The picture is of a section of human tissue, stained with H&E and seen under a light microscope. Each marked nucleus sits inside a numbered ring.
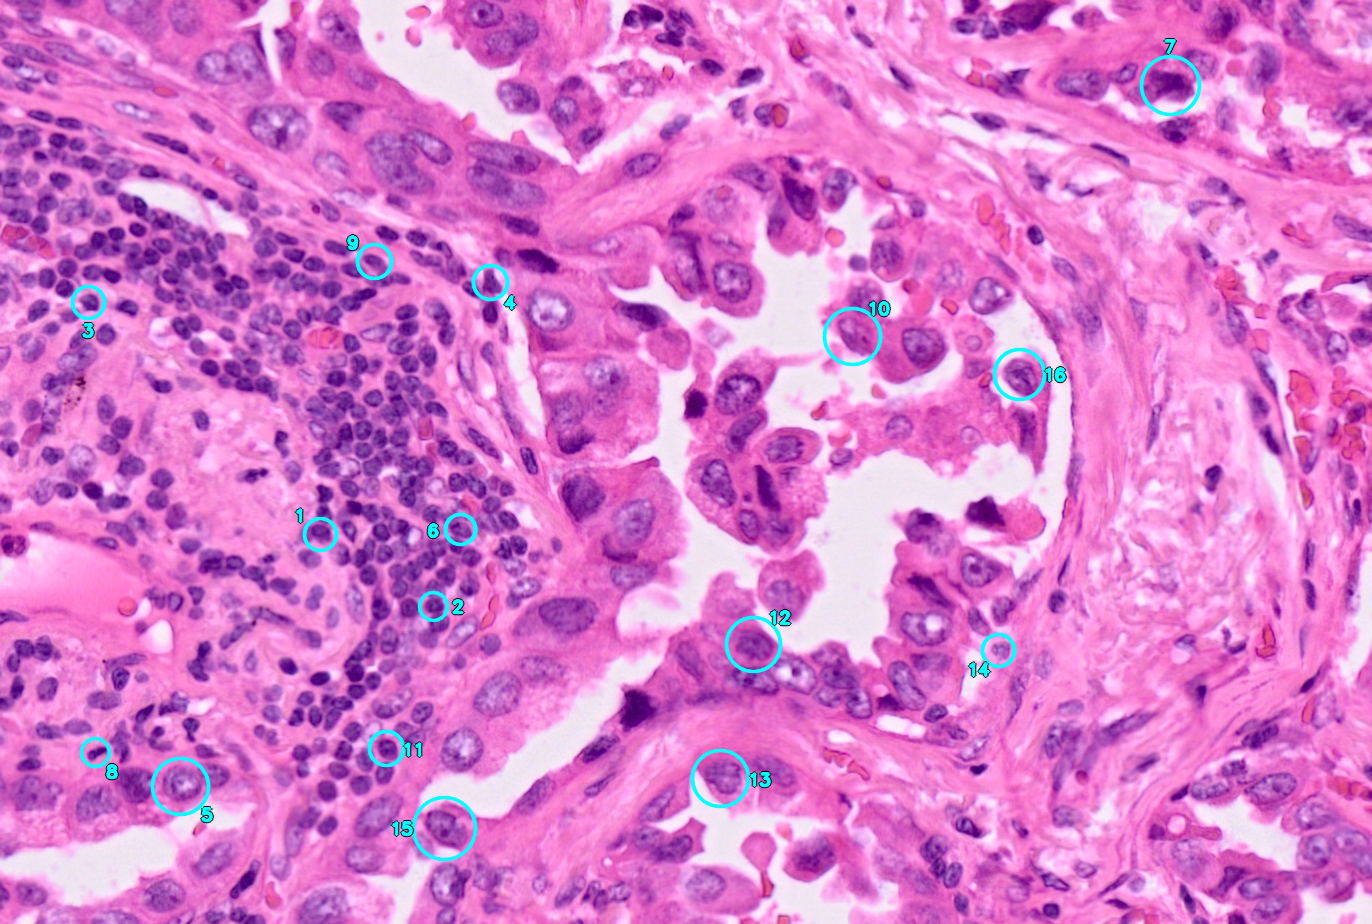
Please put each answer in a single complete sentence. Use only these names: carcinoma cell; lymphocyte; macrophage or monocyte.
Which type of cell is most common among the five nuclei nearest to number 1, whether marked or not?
Of the five nuclei nearest to number 1, most belong to lymphocytes.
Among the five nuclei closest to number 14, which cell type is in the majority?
Of the five nuclei nearest to number 14, most belong to macrophages or monocytes.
